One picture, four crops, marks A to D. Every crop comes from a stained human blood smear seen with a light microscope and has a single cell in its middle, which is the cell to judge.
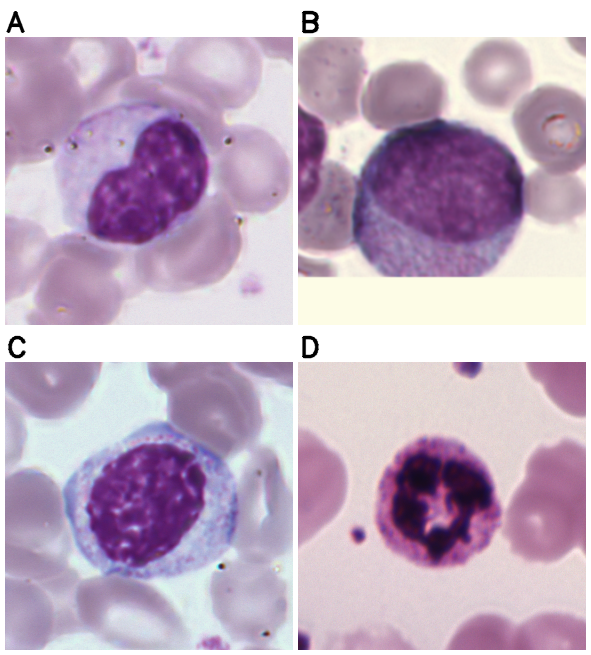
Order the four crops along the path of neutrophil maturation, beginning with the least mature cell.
B, C, A, D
